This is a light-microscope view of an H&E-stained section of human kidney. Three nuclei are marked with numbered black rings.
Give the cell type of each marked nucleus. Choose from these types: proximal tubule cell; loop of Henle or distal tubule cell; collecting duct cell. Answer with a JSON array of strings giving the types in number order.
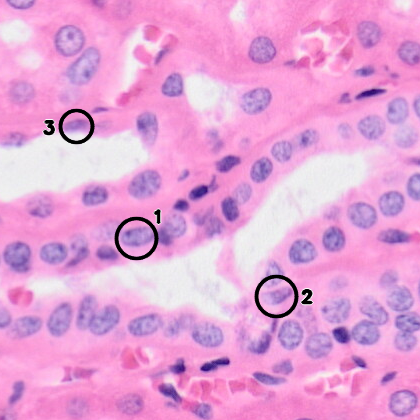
["collecting duct cell", "collecting duct cell", "loop of Henle or distal tubule cell"]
